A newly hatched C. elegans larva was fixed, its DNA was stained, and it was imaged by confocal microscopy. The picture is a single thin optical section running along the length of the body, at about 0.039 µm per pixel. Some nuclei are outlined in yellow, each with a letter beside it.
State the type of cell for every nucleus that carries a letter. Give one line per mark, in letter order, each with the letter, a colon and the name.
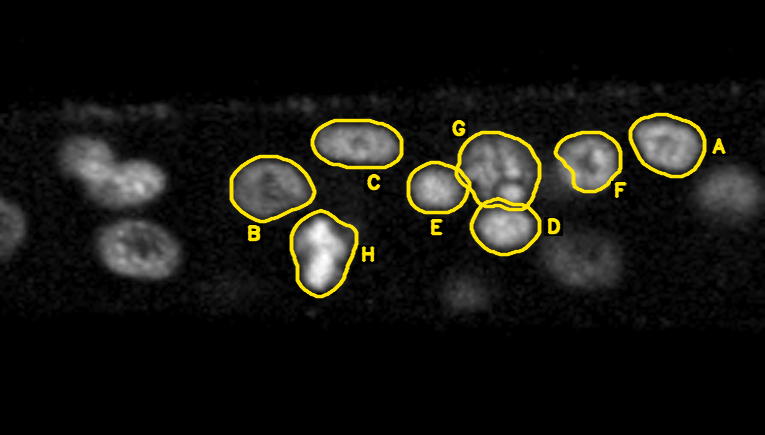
A: body wall muscle cell
B: seam cell
C: body wall muscle cell
D: neuron
E: neuron
F: somatic gonad precursor
G: germ line precursor
H: Q neuroblast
